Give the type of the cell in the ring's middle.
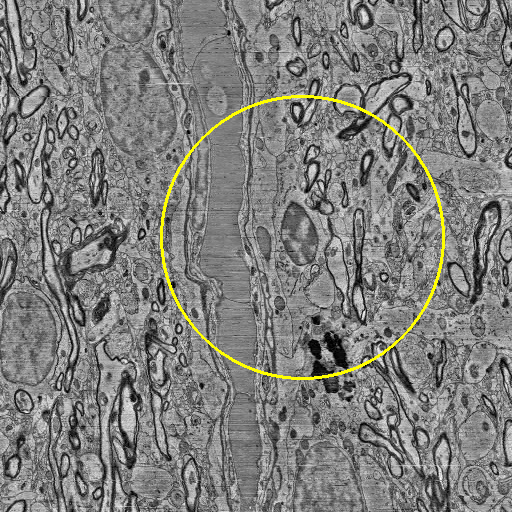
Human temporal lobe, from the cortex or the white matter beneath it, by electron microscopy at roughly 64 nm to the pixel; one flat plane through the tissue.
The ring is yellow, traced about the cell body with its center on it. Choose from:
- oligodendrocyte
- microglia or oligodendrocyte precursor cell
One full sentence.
Here, a microglial cell or oligodendrocyte precursor cell is the cell lying at the center of the yellow ring.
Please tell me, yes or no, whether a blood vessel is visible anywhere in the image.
Yes, there is a blood vessel.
